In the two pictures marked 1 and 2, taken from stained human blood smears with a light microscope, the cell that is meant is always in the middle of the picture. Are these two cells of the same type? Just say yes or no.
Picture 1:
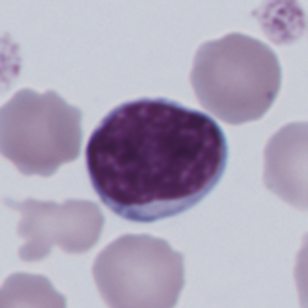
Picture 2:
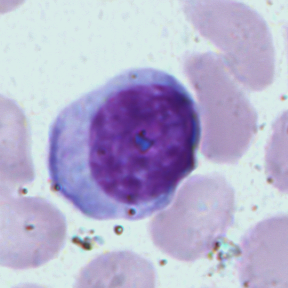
no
